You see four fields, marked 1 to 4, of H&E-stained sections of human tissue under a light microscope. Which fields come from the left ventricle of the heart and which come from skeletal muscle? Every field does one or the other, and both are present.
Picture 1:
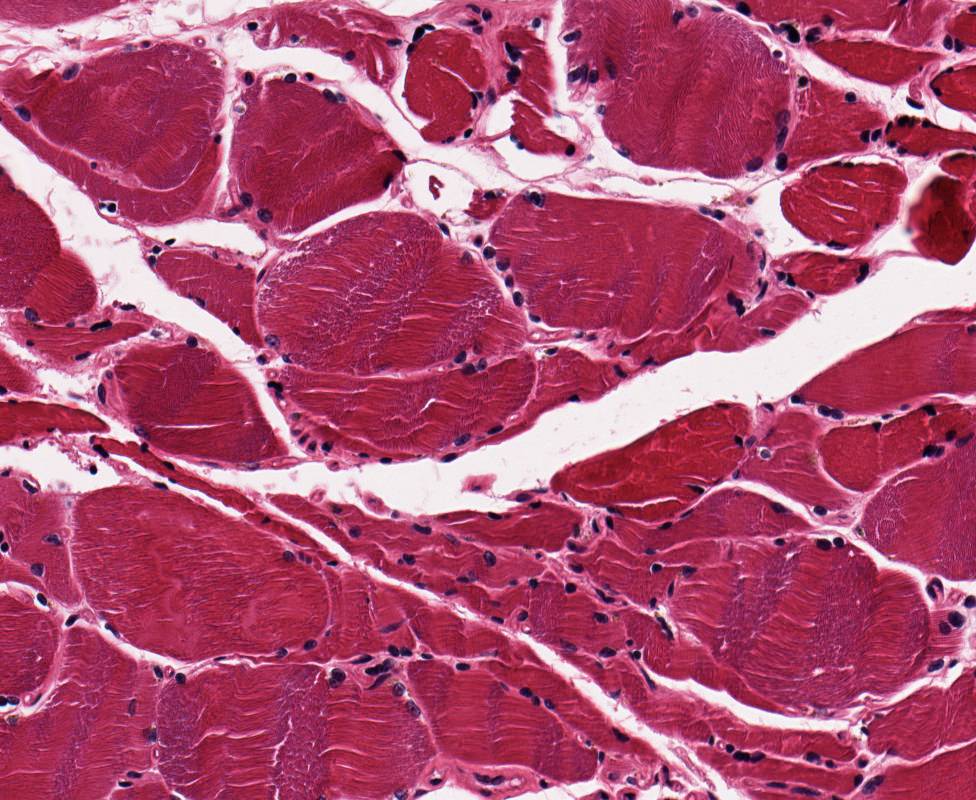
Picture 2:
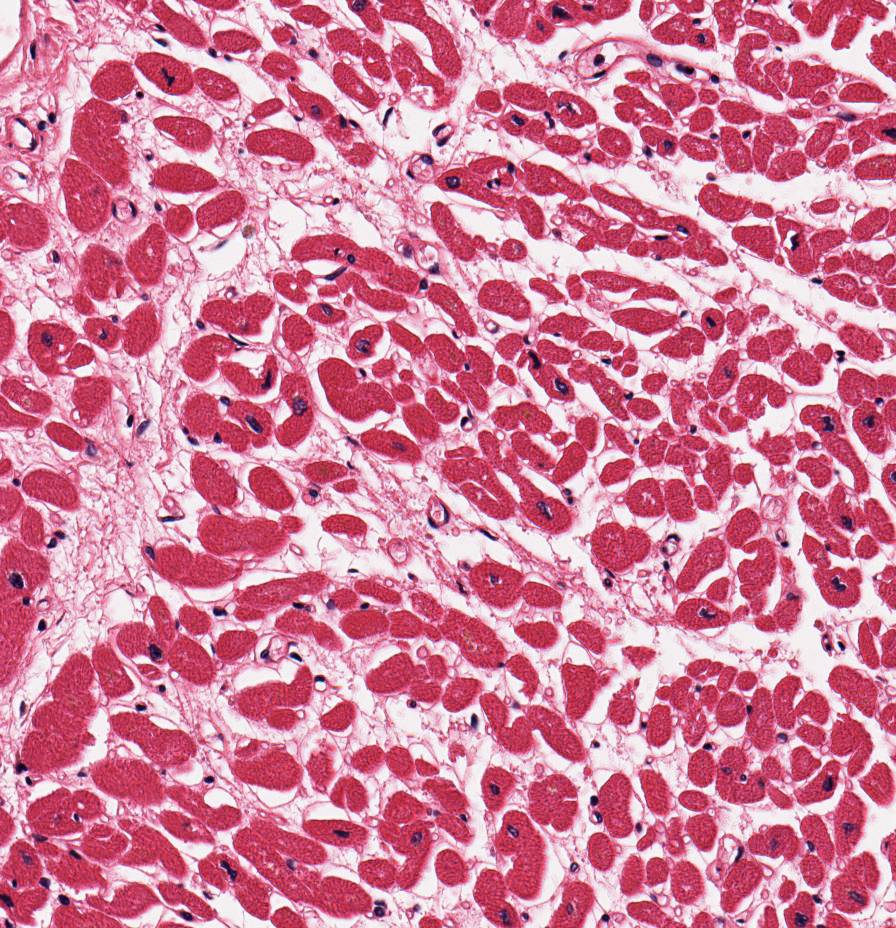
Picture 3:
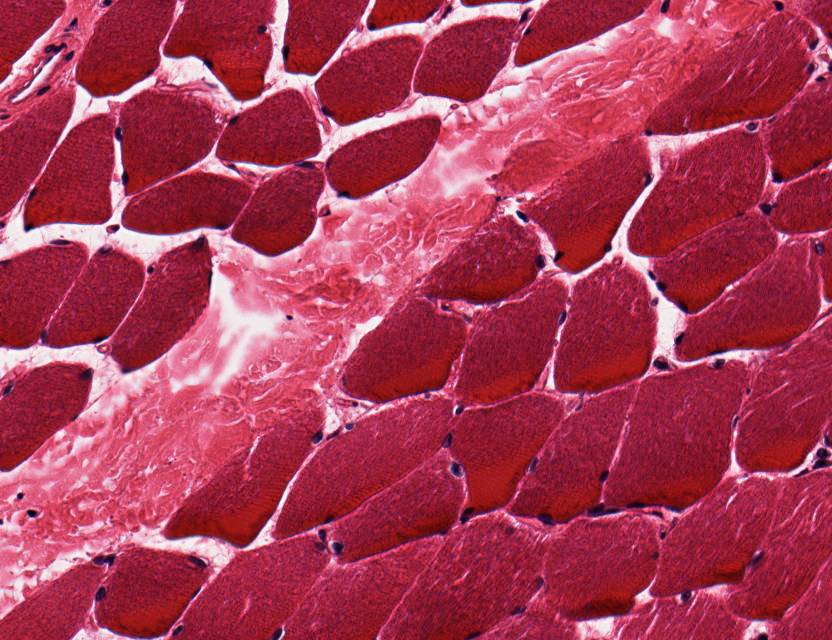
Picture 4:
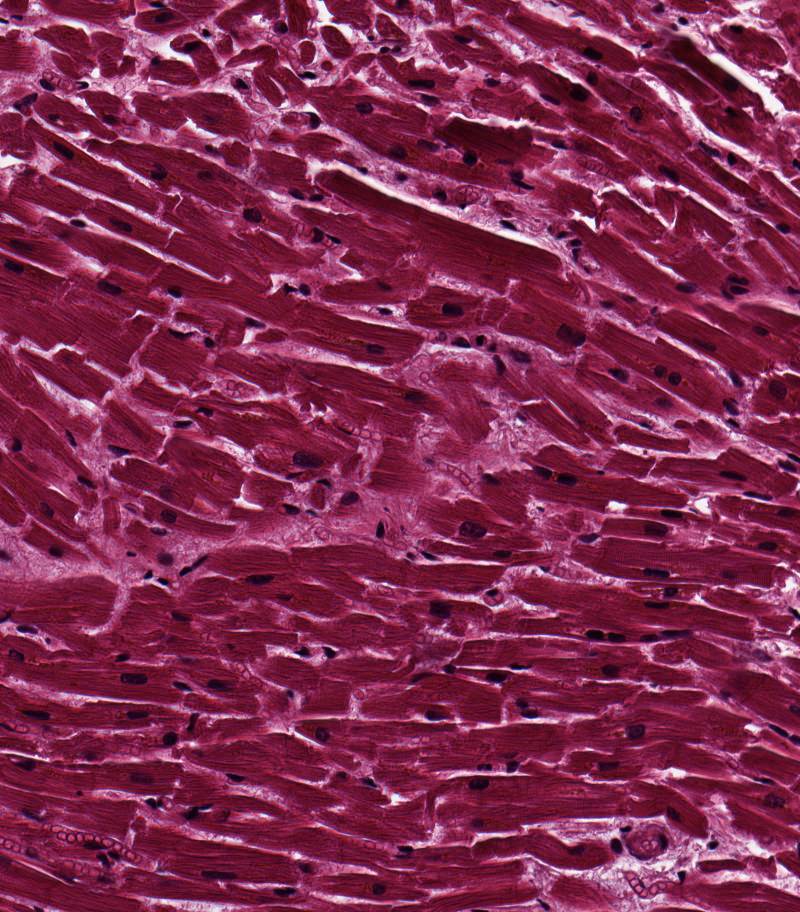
1: skeletal muscle
2: left ventricle of the heart
3: skeletal muscle
4: left ventricle of the heart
